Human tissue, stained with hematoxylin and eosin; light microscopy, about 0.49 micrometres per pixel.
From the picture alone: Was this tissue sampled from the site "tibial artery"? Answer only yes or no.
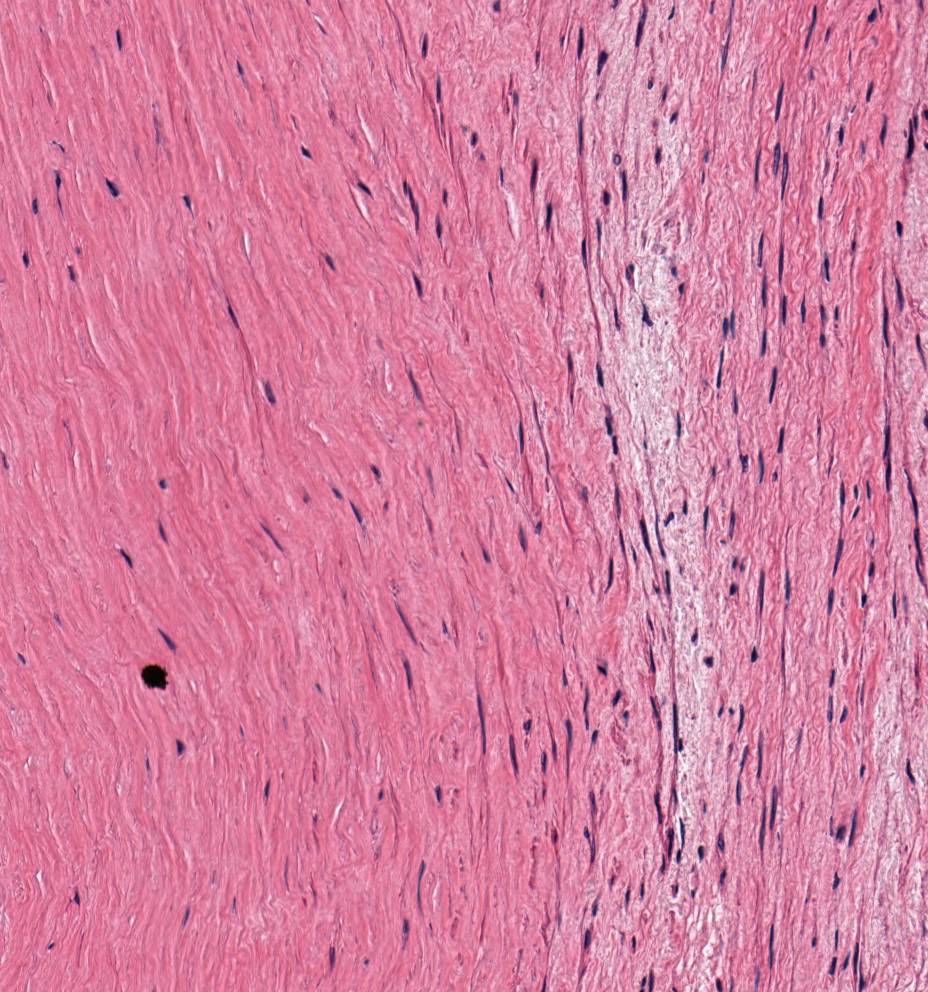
no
